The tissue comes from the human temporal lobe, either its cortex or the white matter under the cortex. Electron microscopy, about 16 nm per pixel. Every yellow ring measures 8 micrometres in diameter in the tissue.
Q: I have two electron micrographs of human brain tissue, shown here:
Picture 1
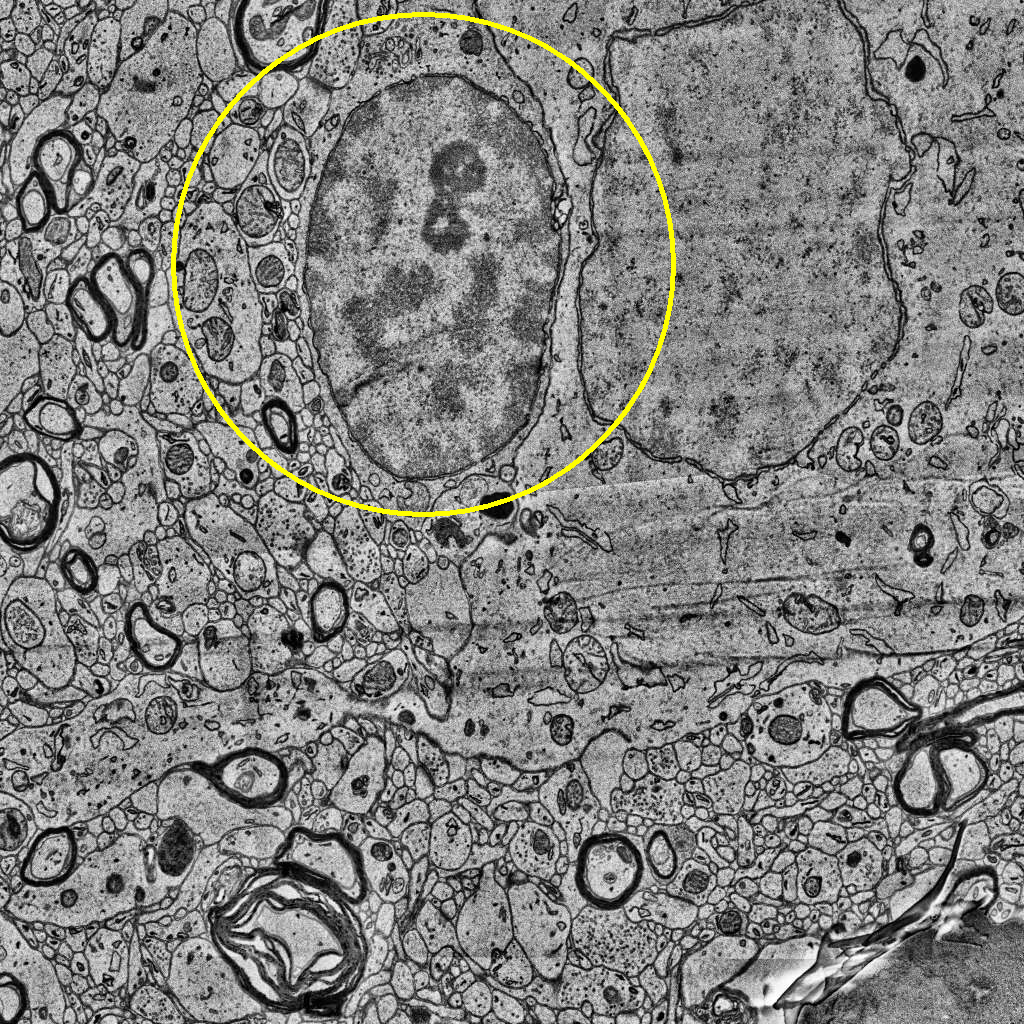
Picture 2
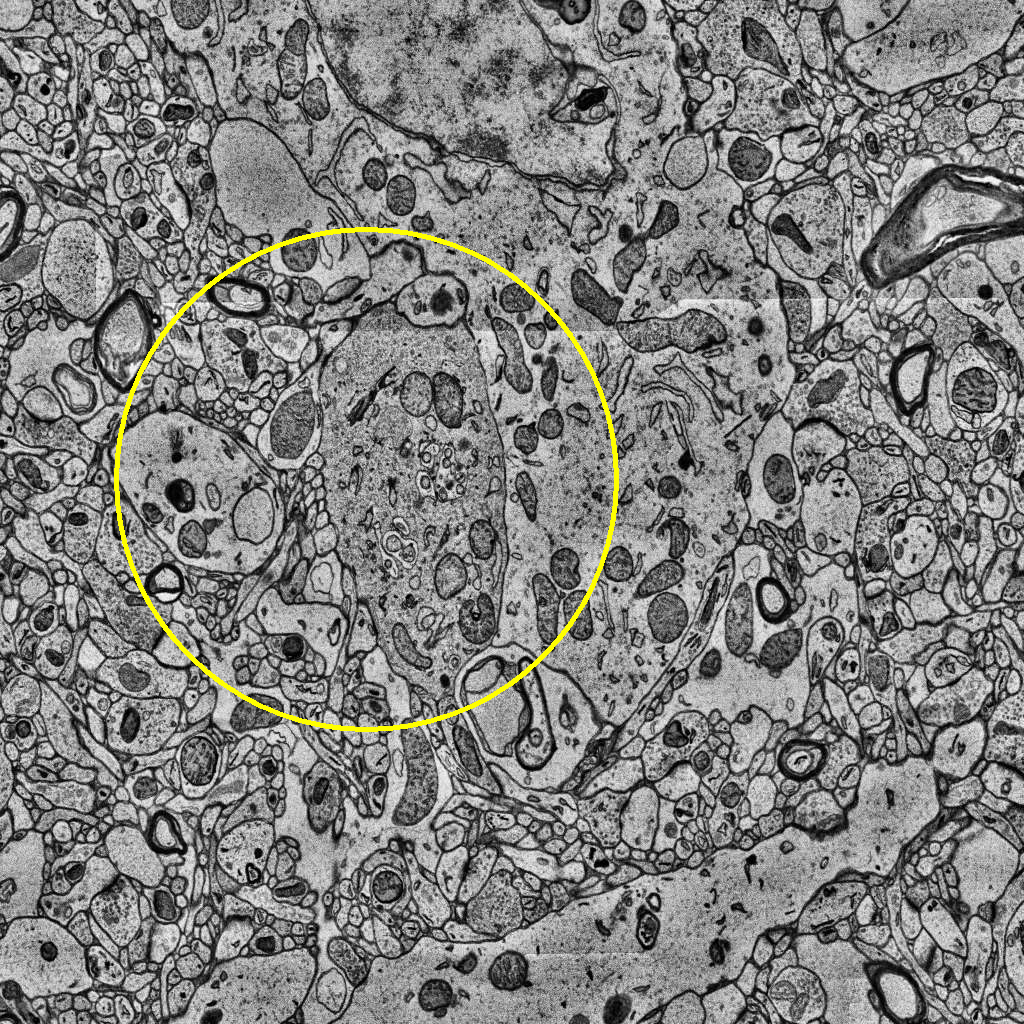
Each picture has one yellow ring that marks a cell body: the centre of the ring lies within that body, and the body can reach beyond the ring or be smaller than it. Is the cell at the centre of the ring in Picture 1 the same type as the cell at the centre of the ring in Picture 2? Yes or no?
yes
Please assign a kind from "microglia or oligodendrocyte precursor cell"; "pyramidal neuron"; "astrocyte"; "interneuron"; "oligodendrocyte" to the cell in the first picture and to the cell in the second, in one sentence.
The ring centre holds an oligodendrocyte in each of the two pictures.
